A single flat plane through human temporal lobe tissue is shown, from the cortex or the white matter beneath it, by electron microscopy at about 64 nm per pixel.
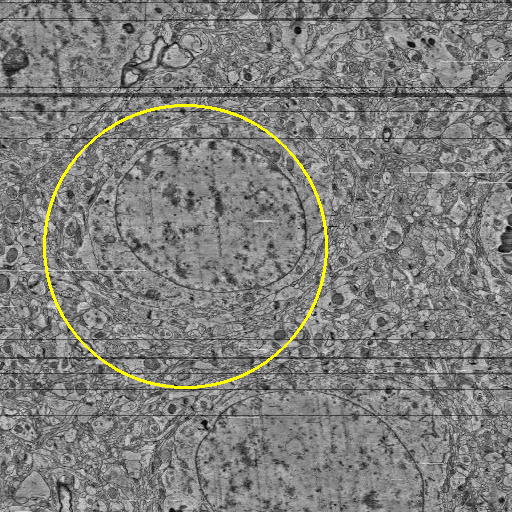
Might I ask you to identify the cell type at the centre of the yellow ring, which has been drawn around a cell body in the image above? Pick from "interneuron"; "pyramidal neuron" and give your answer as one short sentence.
The centre of the ring falls on a pyramidal neuron.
